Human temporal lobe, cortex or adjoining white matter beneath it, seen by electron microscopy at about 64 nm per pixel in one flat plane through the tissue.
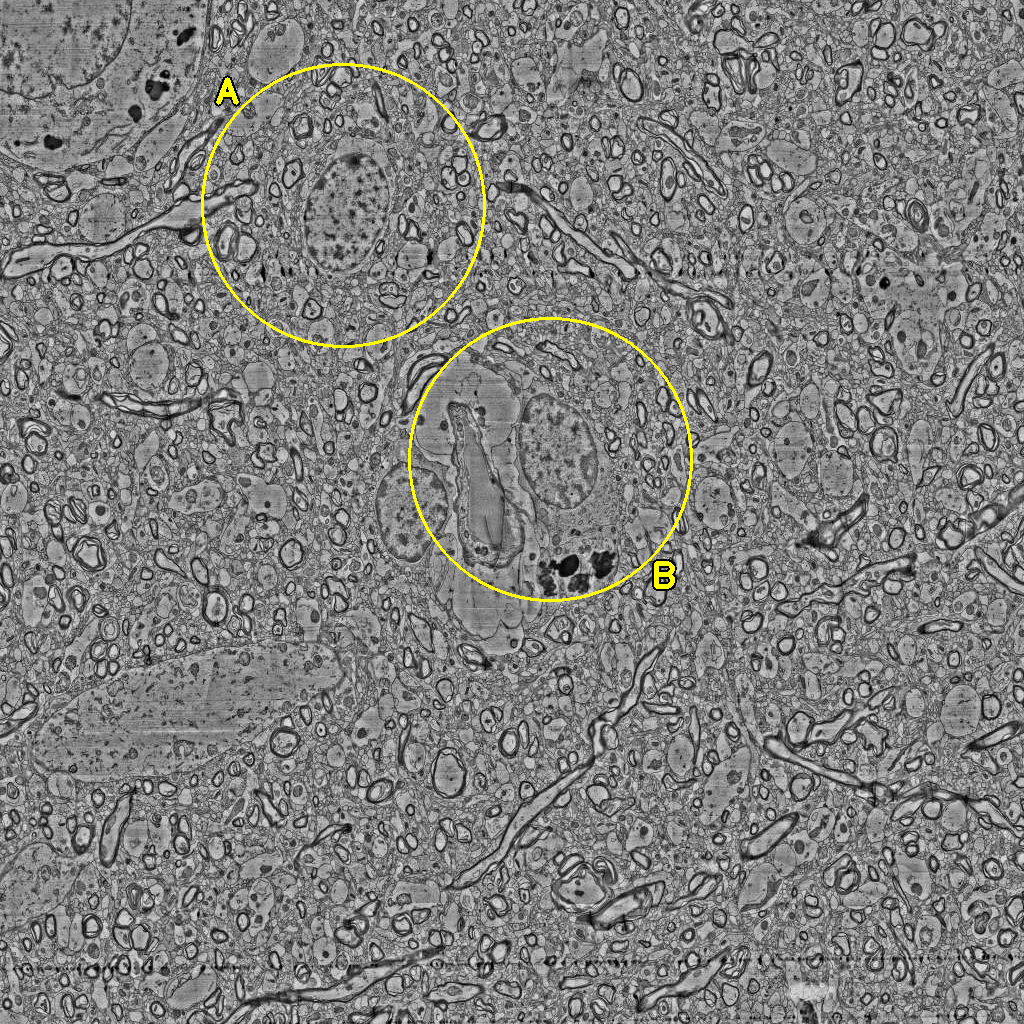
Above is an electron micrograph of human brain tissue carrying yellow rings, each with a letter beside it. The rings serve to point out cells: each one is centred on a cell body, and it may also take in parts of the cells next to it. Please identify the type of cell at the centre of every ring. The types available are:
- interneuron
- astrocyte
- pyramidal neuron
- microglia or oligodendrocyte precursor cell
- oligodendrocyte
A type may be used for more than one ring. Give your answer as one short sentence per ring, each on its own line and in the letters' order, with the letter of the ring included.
Ring A points to the cell body of a microglial cell or oligodendrocyte precursor cell.
Ring B points to the cell body of an oligodendrocyte.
